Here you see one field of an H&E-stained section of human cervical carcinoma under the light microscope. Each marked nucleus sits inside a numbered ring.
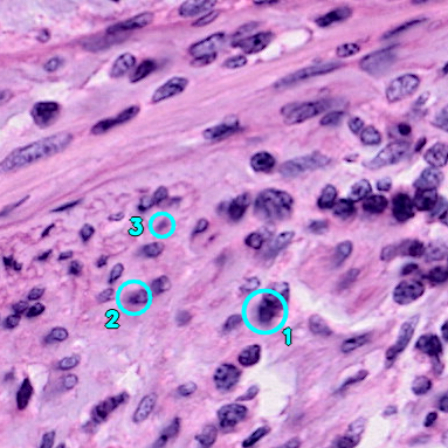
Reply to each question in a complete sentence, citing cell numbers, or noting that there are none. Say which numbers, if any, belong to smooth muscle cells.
The numbers 2 and 3 refer to cells that are smooth muscle cells.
